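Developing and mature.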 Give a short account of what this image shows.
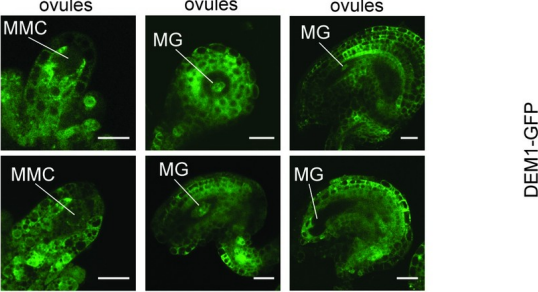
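The young ovules are finger-like outgrowths of small, tightly packed cells whose outlines and cytoplasm glow green, with many bright dots. A larger central cell within them is only faintly fluorescent, while the surrounding sporophytic cells are bright.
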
